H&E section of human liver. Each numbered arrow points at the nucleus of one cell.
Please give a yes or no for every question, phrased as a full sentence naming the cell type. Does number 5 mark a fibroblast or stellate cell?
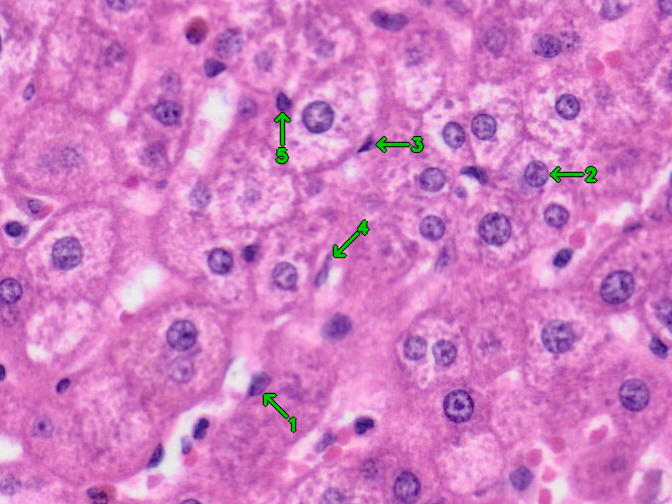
Yes, correct, the cell with the number 5 is a fibroblast or stellate cell.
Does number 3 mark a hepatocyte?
No, the cell at number 3 is an endothelial cell instead of a hepatocyte.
